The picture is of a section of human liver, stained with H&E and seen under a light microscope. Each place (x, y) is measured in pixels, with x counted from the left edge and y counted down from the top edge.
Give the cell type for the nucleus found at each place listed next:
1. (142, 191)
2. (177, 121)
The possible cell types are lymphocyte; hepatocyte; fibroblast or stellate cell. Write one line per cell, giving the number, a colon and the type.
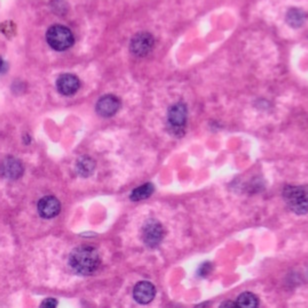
1: fibroblast or stellate cell
2: hepatocyte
